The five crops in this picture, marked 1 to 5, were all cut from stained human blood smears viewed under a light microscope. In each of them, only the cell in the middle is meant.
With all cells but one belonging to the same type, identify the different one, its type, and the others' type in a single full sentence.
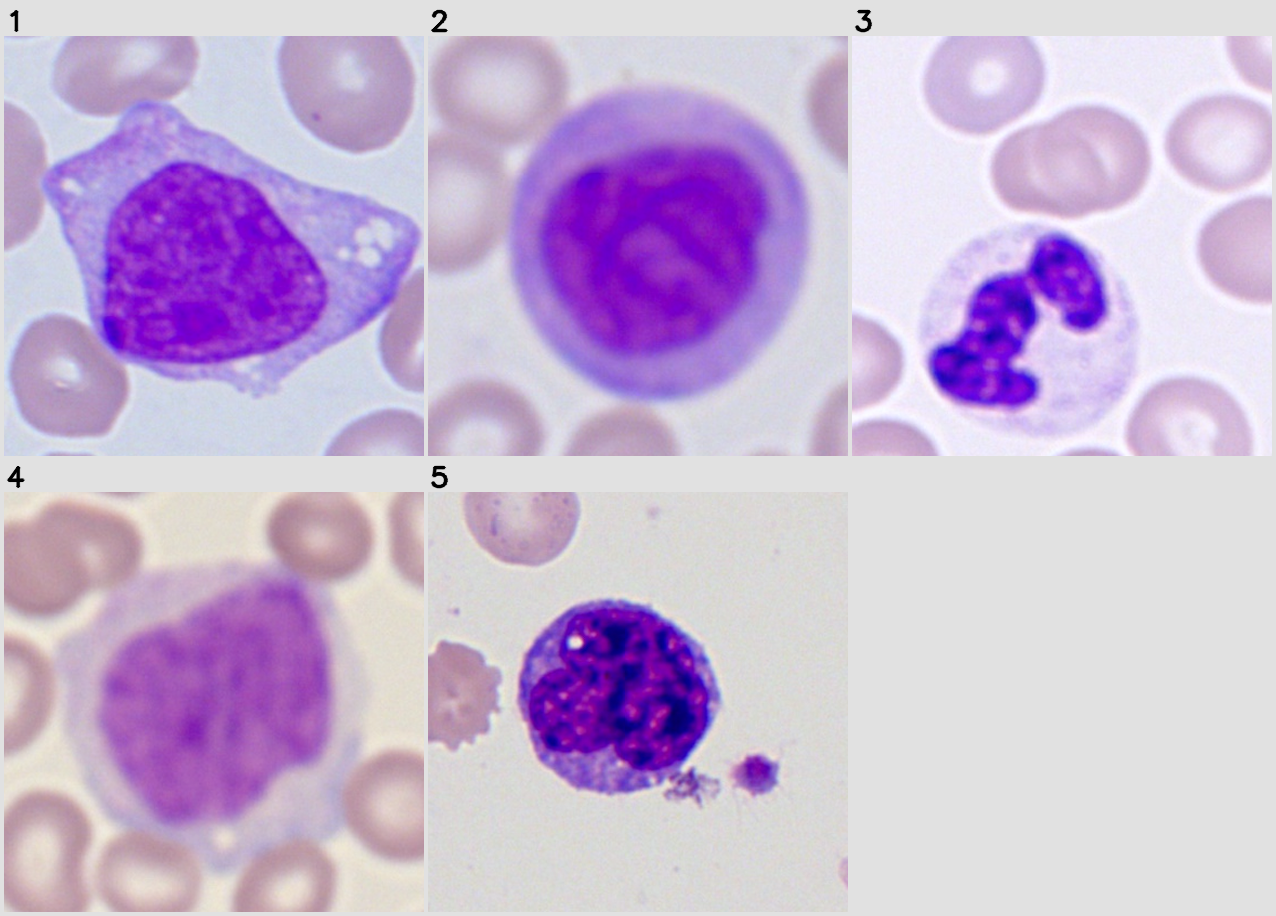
Unlike the other crops, which all show monocytes, crop 3 is a neutrophil.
